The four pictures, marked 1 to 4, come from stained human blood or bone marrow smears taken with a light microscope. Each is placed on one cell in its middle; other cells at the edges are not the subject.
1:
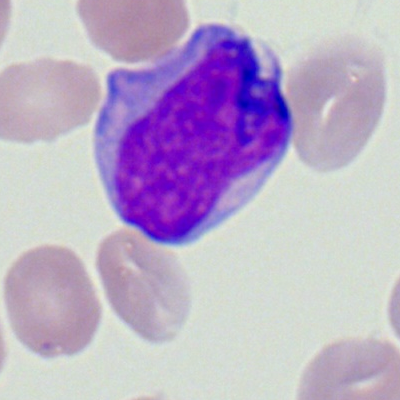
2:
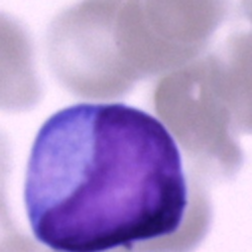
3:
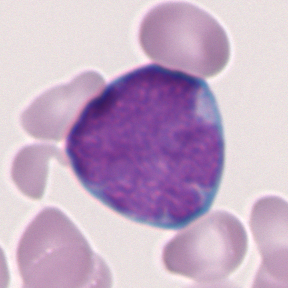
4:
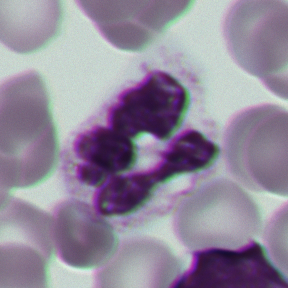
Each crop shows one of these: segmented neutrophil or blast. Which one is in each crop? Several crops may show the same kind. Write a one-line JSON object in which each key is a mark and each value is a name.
{"1": "blast", "2": "blast", "3": "blast", "4": "segmented neutrophil"}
